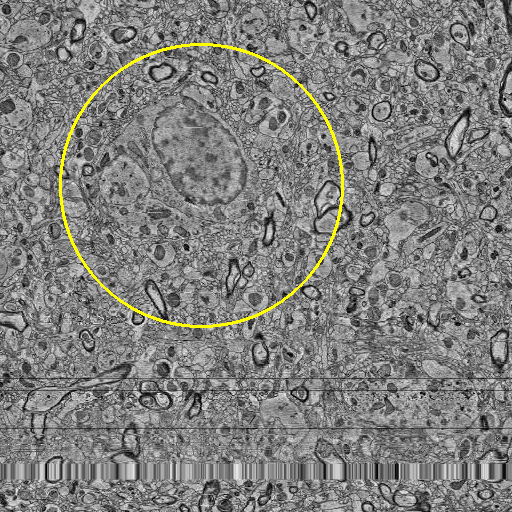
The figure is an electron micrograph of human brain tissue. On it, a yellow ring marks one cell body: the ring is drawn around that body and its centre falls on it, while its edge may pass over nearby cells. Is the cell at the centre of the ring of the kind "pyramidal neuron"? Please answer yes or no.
no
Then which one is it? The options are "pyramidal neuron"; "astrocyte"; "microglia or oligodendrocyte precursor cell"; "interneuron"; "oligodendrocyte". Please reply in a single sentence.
The cell in the ring is an oligodendrocyte instead.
